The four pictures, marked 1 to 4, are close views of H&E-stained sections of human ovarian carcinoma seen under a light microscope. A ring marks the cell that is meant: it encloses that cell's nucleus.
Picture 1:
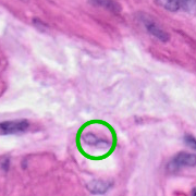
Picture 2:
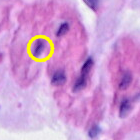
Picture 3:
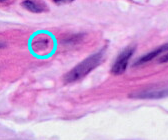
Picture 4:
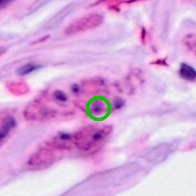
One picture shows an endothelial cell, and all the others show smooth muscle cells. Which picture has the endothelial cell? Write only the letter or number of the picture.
1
